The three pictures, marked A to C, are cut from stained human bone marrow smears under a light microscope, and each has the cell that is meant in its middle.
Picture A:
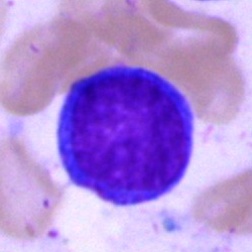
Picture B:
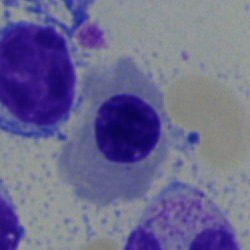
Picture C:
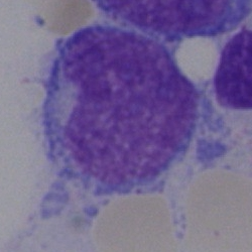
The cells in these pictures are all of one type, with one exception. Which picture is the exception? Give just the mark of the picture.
B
